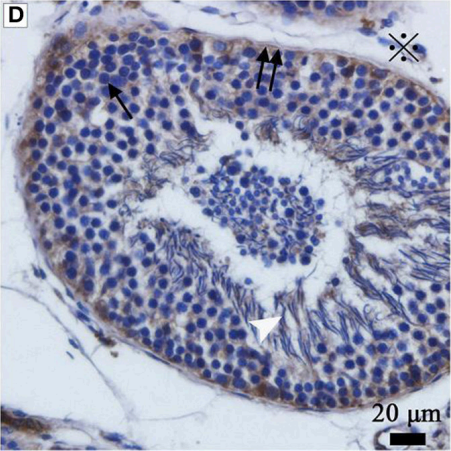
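A cross-section of a seminiferous tubule shows a thick, many-layered epithelium of germ cells around an open lumen. The germ cells are round, closely packed and have round dark blue nuclei, with faint brown staining in the cytoplasm, strongest along the outer edge of the tubule. Toward the lumen, bundles of thin elongated spermatozoa point inward, and a cluster of round cells lies free in the lumen. Loose interstitial tissue with sparse flattened nuclei lies outside the thin tubule boundary.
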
